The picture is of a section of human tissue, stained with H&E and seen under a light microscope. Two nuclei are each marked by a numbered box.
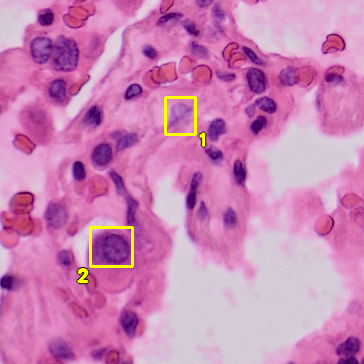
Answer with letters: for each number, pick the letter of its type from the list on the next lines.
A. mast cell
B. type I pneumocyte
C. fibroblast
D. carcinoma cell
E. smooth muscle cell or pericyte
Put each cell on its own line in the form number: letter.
1: C
2: D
